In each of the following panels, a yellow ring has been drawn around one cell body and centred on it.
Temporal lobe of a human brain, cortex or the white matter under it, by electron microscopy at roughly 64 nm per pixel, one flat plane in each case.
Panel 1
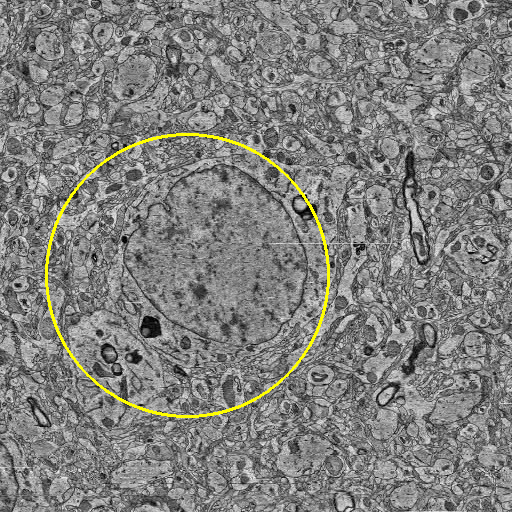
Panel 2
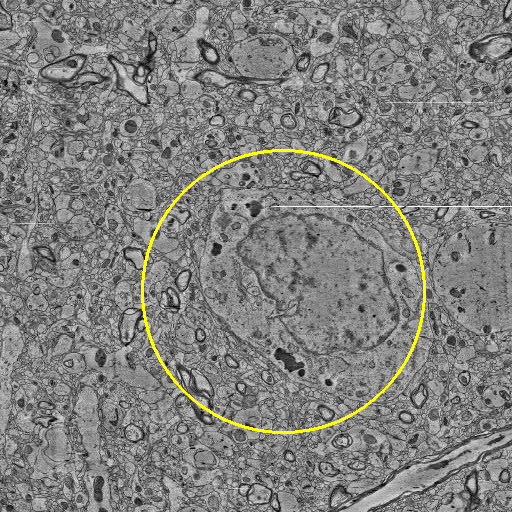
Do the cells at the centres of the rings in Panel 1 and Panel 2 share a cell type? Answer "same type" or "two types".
two types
